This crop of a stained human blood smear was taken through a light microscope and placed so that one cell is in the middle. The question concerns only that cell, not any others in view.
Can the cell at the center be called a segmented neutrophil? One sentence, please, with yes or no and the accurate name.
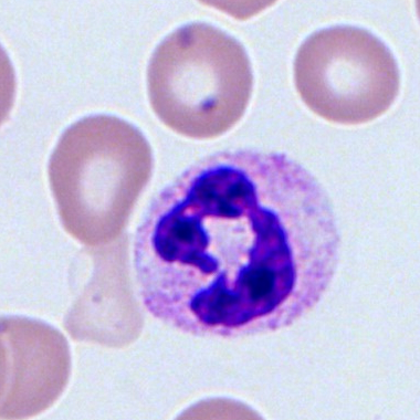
Yes, within this crop, the central cell is a segmented neutrophil.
